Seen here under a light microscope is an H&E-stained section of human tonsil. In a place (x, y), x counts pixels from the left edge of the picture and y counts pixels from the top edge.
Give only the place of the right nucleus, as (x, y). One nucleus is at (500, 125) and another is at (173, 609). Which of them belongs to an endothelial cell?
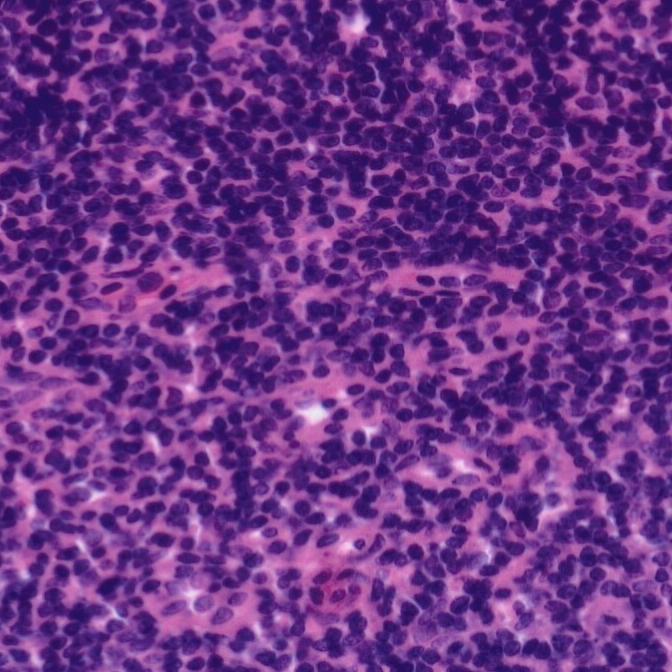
(173, 609)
